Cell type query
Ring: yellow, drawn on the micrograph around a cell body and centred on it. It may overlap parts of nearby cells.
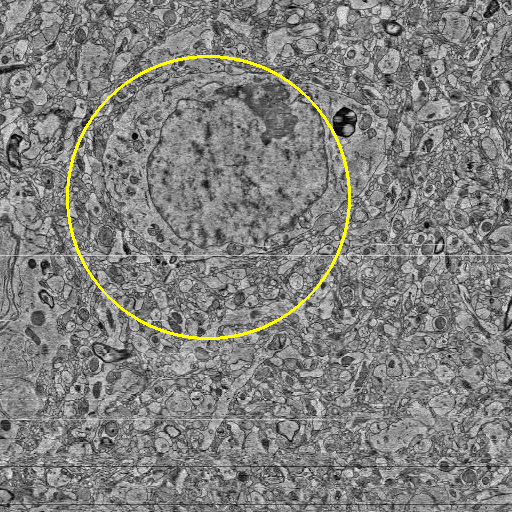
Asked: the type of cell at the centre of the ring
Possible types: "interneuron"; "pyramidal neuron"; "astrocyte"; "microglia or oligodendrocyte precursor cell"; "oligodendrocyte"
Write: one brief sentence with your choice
The ring marks an interneuron.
